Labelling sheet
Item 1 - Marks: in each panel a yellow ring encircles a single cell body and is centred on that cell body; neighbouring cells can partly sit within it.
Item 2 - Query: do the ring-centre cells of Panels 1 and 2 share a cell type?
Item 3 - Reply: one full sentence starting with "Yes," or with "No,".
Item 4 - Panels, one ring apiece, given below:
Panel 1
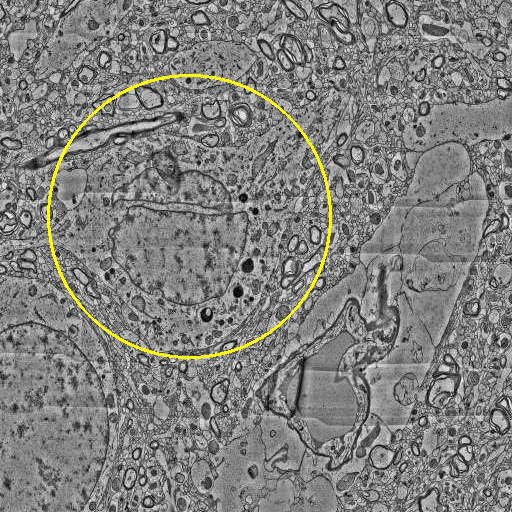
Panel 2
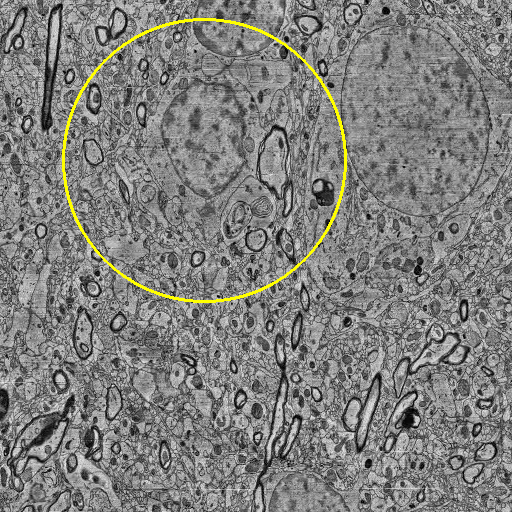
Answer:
No, Panel 1 and Panel 2 show two cell types at the centres of their rings.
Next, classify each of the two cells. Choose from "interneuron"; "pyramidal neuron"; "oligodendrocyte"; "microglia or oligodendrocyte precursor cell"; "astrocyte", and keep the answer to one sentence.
In the first picture it is a pyramidal neuron; in the second it is an interneuron.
